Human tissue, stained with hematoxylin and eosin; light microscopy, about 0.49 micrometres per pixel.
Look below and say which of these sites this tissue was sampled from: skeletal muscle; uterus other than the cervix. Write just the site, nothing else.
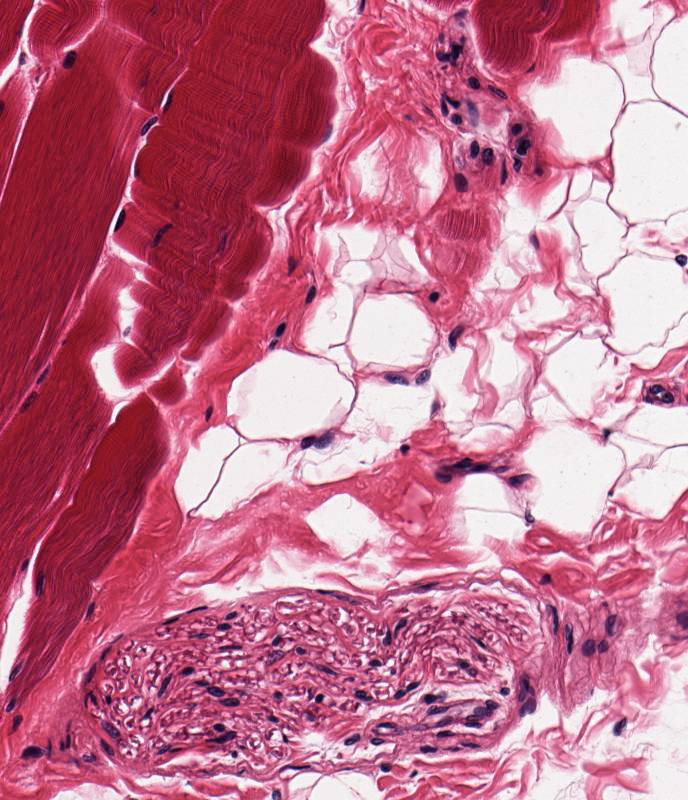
skeletal muscle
